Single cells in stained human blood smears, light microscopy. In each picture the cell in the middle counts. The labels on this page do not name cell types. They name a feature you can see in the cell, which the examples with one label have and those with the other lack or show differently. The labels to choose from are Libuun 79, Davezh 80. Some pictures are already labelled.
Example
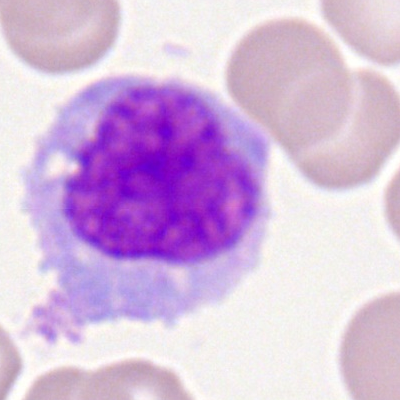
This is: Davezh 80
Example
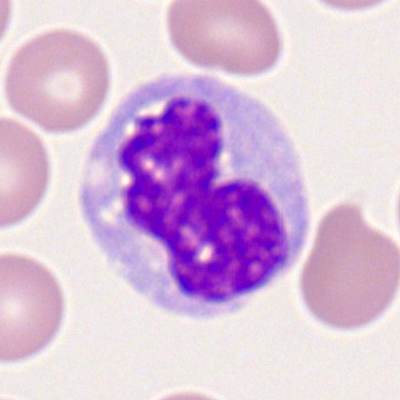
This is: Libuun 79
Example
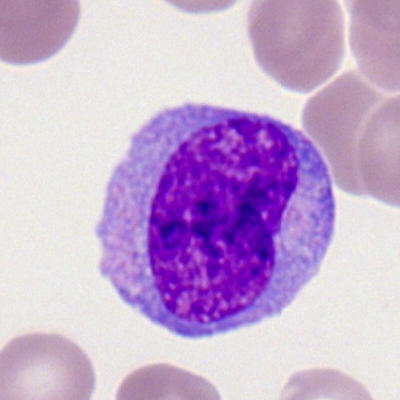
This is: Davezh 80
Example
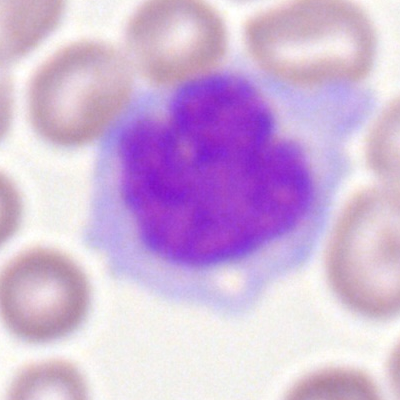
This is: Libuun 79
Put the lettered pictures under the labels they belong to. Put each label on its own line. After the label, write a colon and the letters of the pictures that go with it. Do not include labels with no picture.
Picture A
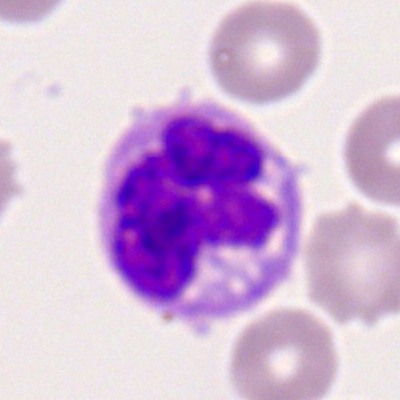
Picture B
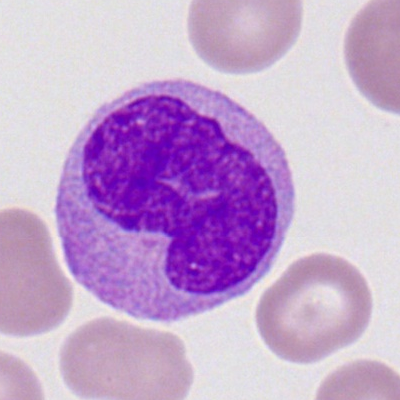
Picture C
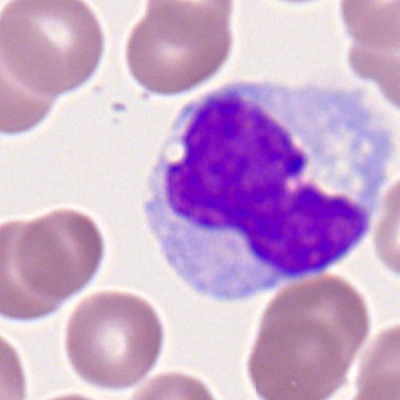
Libuun 79: A
Davezh 80: B, C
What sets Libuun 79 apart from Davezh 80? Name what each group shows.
Libuun 79: lobed nucleus; Davezh 80: single compact nucleus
